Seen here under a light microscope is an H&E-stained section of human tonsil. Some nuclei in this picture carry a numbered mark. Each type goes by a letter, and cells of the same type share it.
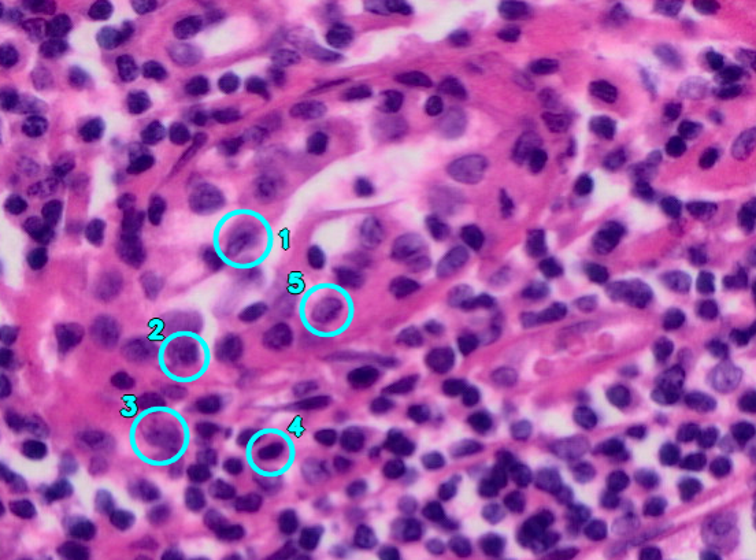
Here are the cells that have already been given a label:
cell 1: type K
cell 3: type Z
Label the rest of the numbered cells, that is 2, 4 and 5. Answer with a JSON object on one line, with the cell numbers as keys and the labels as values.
{"2": "type K", "4": "type Z", "5": "type K"}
